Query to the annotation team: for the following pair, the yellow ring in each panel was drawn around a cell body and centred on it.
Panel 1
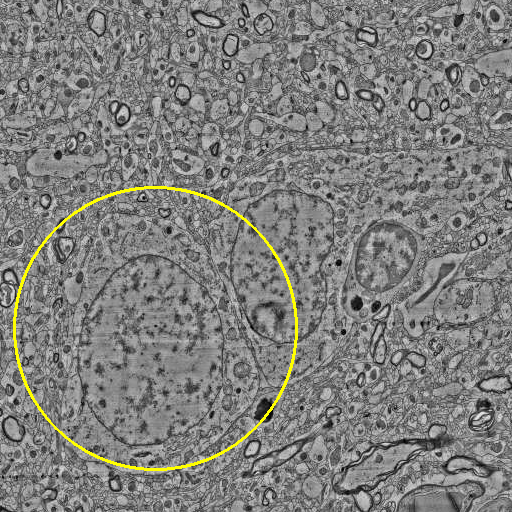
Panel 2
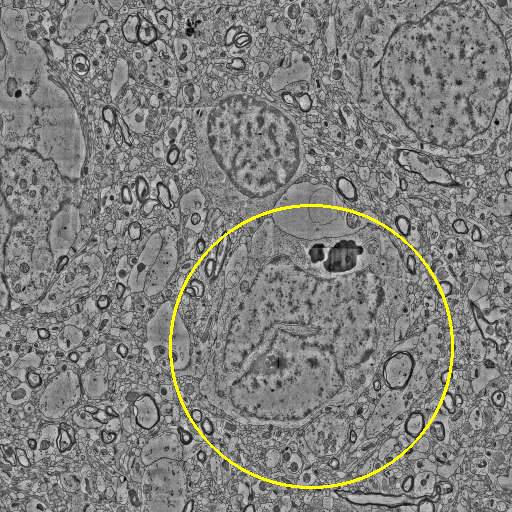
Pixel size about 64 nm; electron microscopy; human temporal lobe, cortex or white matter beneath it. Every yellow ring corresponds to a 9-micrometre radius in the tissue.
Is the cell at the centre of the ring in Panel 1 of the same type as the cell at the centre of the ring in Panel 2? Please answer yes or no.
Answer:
no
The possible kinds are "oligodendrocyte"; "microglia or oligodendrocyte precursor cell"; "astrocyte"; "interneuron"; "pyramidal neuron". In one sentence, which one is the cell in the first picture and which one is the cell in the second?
The cell ringed in the second picture is an interneuron, whereas the one ringed in the first is a pyramidal neuron.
